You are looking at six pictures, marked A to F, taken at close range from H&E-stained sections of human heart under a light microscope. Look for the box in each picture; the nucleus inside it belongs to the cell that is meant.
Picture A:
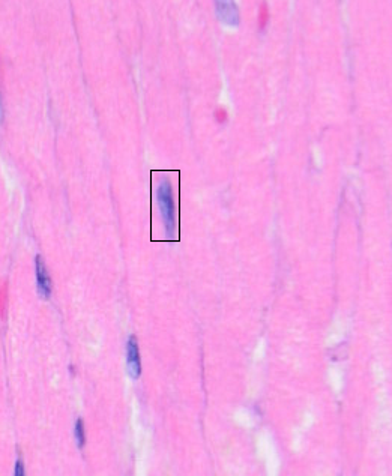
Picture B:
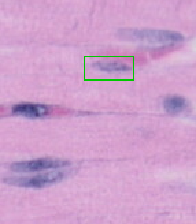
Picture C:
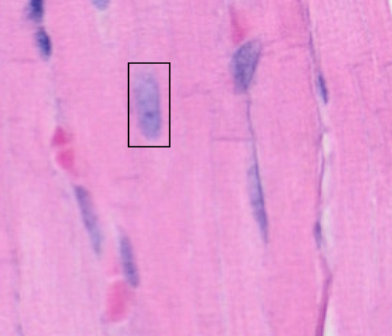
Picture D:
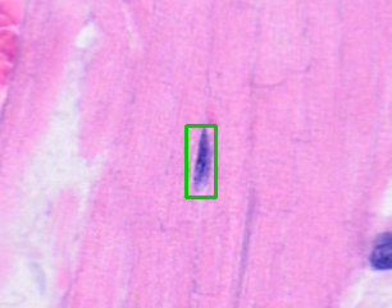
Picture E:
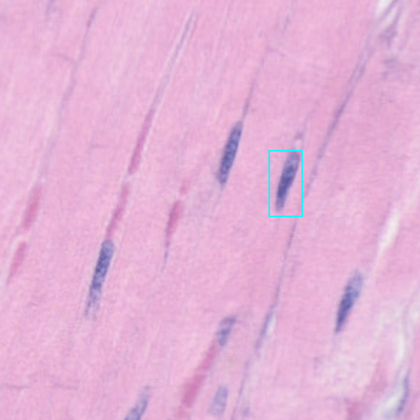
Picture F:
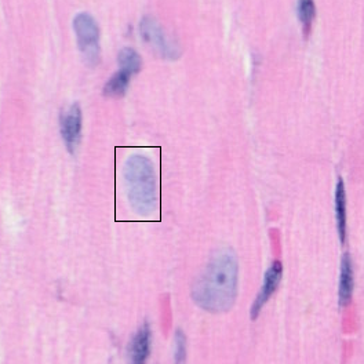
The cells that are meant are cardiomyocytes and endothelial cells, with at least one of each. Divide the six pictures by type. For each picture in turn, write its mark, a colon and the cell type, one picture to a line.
A: endothelial cell
B: endothelial cell
C: cardiomyocyte
D: endothelial cell
E: endothelial cell
F: cardiomyocyte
